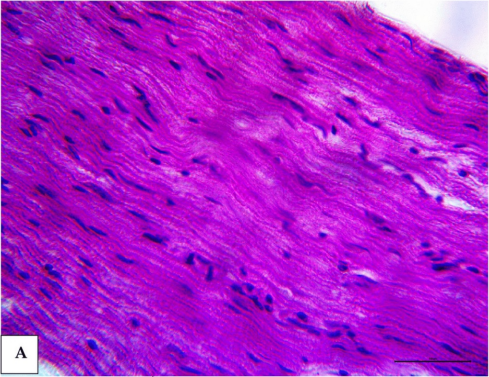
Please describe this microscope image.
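This is peripheral nerve in longitudinal section, with pink-stained nerve fibers running in closely packed, parallel wavy lines across the field. Elongated, dark purple nuclei, most likely of Schwann cells and fibroblasts, lie spindle-shaped and aligned with the fibers. There are hardly any gaps between the fibers and no clear vacuoles, so the fibers look regularly arranged.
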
